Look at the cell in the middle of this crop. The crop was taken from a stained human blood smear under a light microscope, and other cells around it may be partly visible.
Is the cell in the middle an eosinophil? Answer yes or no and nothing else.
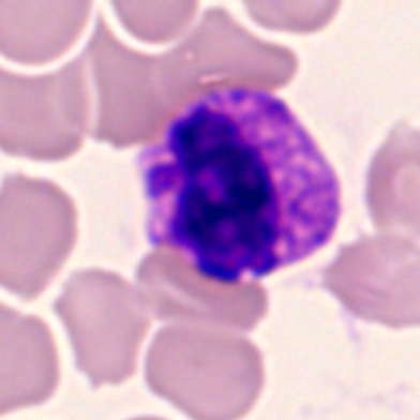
no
